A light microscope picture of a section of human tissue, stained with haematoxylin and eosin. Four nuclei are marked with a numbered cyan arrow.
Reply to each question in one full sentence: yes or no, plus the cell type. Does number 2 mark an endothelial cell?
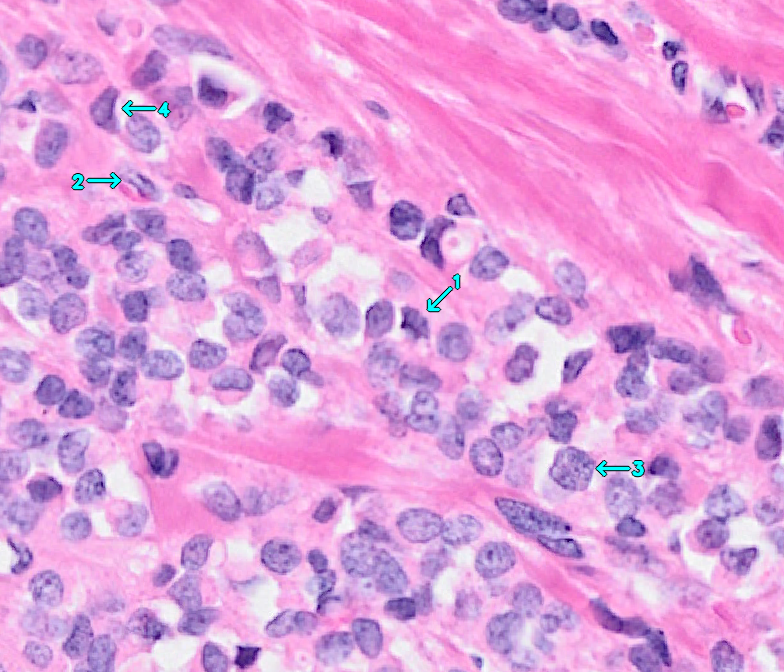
Yes, cell 2 among the marked cells is an endothelial cell.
